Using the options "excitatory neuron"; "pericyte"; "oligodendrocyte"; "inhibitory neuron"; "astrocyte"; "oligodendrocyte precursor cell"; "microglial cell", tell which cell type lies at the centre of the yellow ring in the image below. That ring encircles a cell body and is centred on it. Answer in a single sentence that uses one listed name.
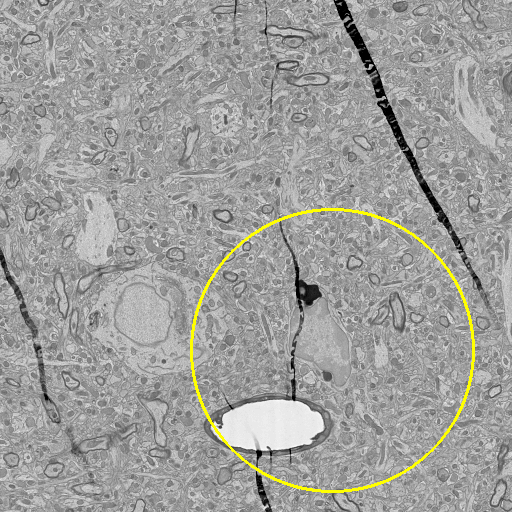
At the centre of the yellow ring lies the body of a microglial cell.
